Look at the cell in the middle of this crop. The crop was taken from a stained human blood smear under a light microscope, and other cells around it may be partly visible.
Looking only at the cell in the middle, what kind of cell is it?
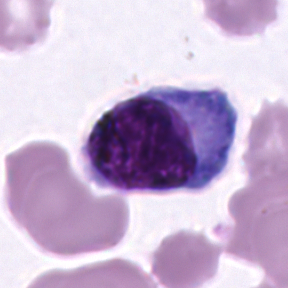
plasma cell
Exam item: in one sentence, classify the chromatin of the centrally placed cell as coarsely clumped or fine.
This nucleus has coarsely clumped chromatin.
